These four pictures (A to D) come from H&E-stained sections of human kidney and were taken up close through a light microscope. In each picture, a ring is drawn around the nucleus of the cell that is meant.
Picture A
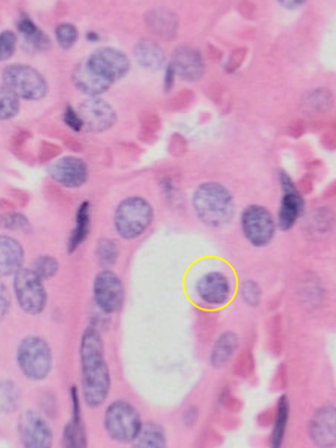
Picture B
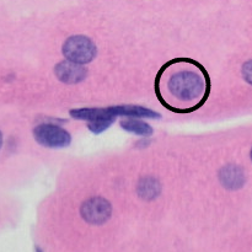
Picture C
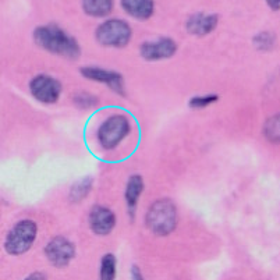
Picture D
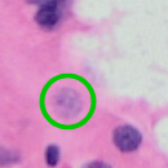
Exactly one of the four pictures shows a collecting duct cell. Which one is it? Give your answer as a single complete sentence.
The picture with the collecting duct cell is A.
